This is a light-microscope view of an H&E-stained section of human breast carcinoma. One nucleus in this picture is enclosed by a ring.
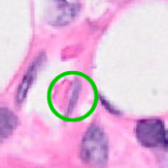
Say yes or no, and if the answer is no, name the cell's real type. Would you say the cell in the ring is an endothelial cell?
Yes.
